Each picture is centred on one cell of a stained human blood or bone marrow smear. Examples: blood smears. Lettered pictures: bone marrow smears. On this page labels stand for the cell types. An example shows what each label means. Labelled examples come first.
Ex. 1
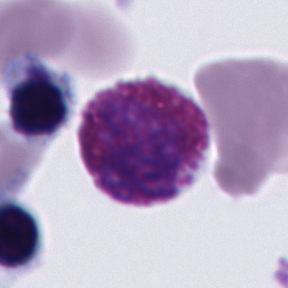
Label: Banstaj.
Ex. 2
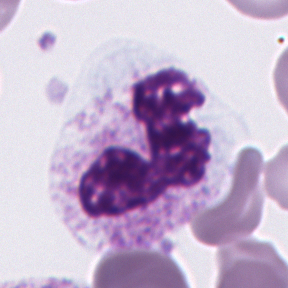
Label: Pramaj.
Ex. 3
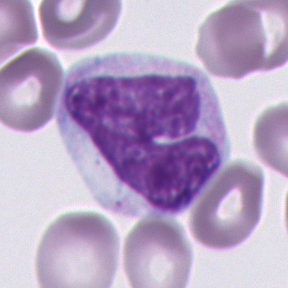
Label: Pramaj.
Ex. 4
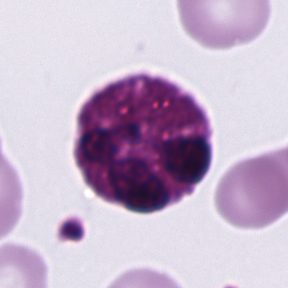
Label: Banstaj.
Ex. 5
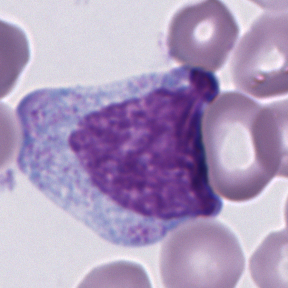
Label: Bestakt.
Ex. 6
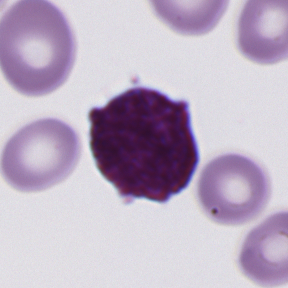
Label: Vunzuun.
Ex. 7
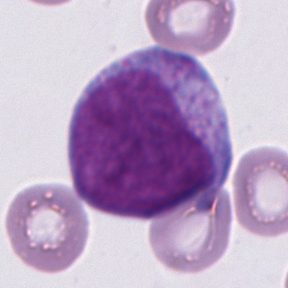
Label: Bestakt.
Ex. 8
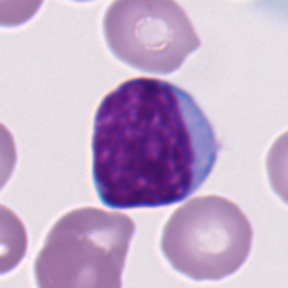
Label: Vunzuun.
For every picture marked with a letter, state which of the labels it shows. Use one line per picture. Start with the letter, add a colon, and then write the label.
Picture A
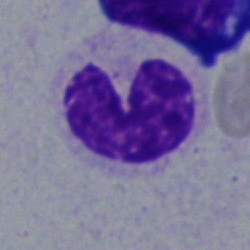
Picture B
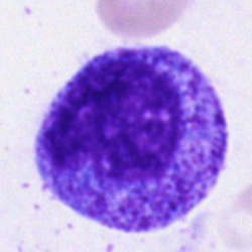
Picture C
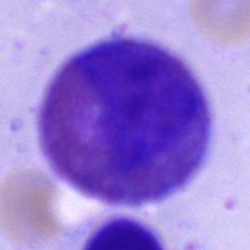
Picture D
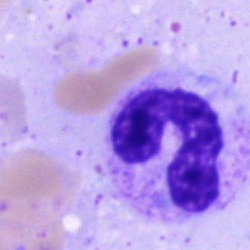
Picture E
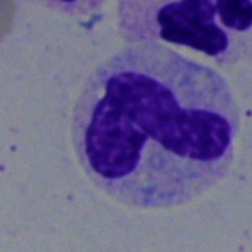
A: Pramaj.
B: Bestakt.
C: Banstaj.
D: Pramaj.
E: Pramaj.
